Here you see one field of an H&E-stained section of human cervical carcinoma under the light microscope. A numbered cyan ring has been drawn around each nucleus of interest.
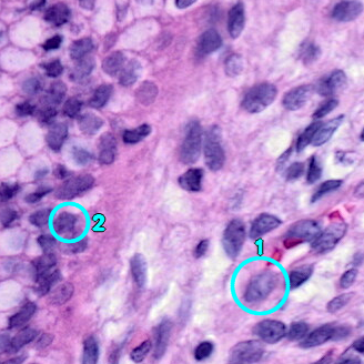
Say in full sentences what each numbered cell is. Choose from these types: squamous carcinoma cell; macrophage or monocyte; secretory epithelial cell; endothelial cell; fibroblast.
Cell 1 is an endothelial cell and cell 2 is a secretory epithelial cell.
